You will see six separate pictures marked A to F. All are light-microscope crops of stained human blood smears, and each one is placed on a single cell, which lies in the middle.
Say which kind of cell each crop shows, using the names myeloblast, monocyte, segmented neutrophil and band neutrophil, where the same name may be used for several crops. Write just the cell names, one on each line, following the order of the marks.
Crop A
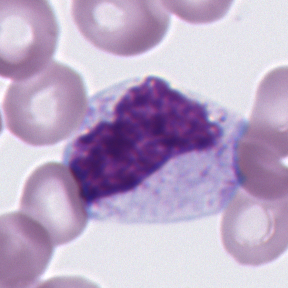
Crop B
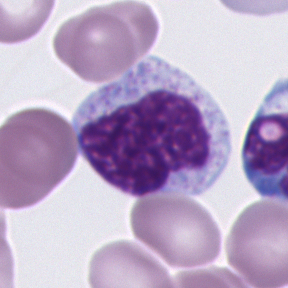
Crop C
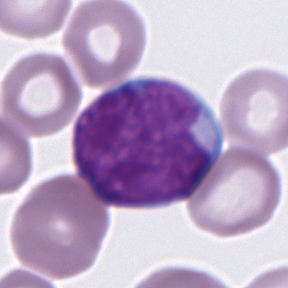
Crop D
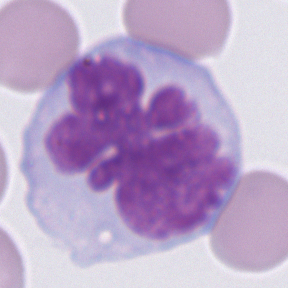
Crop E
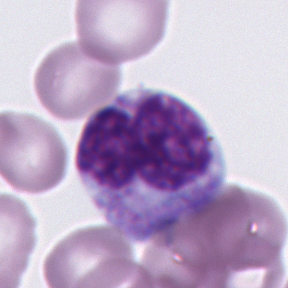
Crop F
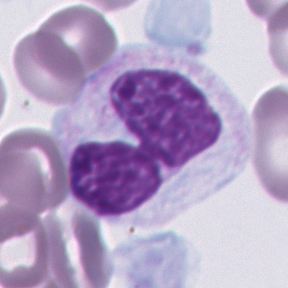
band neutrophil
band neutrophil
myeloblast
monocyte
monocyte
band neutrophil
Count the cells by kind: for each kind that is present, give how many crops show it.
band neutrophil: 3
monocyte: 2
myeloblast: 1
